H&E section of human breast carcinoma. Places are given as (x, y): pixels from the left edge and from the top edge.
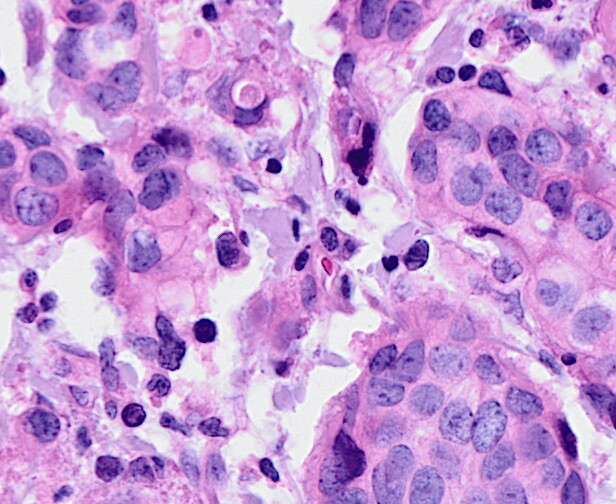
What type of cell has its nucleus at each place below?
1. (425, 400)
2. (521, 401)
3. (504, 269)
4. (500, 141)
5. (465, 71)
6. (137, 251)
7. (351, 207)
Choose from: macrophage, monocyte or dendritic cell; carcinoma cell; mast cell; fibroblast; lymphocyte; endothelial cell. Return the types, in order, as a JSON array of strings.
["carcinoma cell", "carcinoma cell", "macrophage, monocyte or dendritic cell", "carcinoma cell", "lymphocyte", "carcinoma cell", "lymphocyte"]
